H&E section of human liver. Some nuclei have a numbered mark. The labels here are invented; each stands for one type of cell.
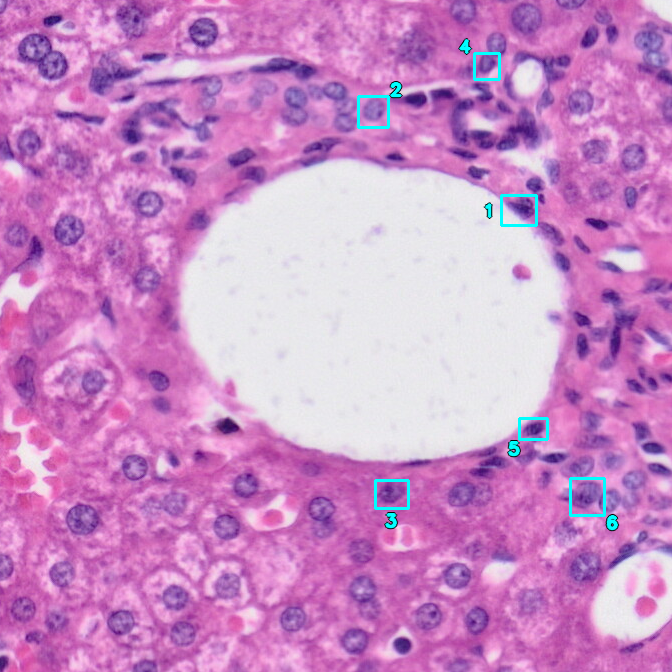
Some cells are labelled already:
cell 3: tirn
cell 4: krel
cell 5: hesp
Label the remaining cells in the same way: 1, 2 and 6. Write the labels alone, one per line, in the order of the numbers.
hesp
krel
krel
